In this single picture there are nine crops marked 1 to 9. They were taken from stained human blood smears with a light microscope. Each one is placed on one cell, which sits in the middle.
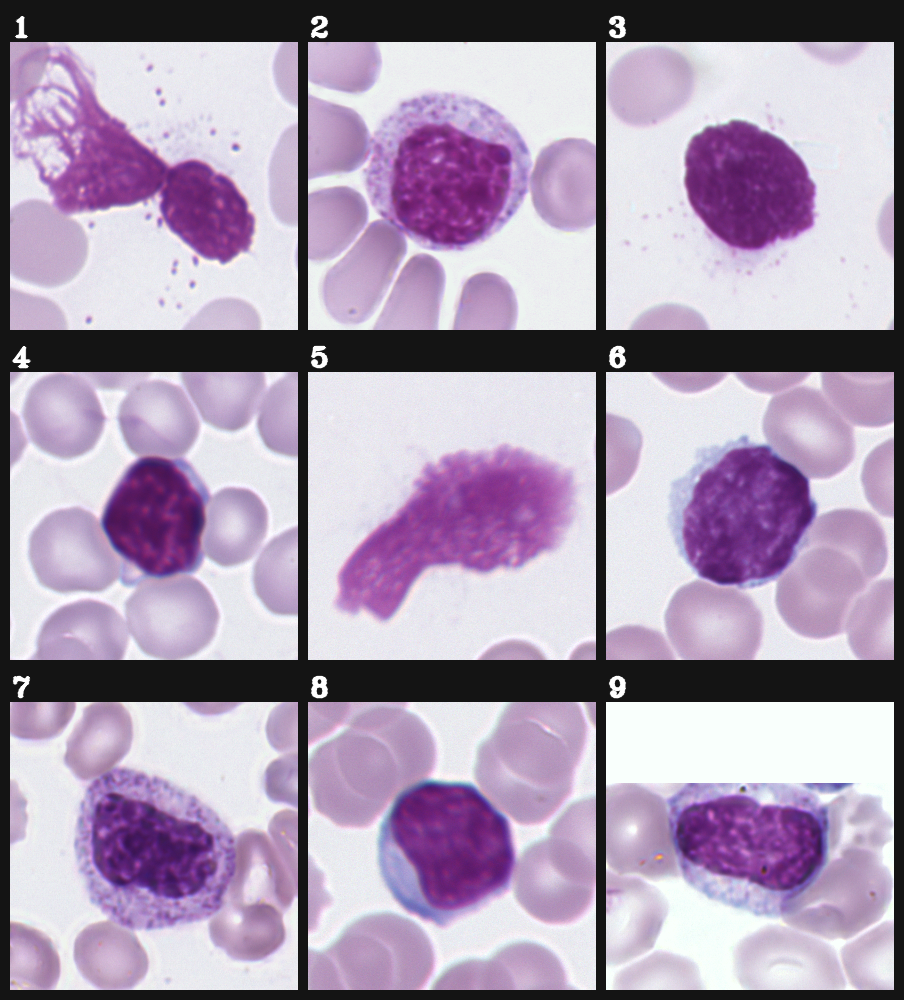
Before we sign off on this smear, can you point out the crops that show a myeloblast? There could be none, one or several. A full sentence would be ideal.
The series of crops is entirely without a myeloblast.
